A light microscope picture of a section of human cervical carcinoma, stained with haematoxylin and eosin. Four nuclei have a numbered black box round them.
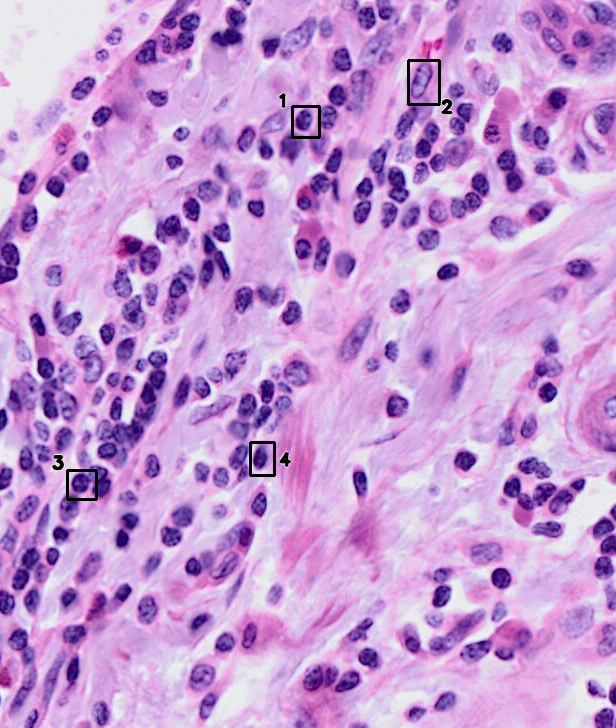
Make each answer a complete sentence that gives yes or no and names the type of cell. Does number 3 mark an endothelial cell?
No, cell 3 is not an endothelial cell: it is a lymphocyte.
